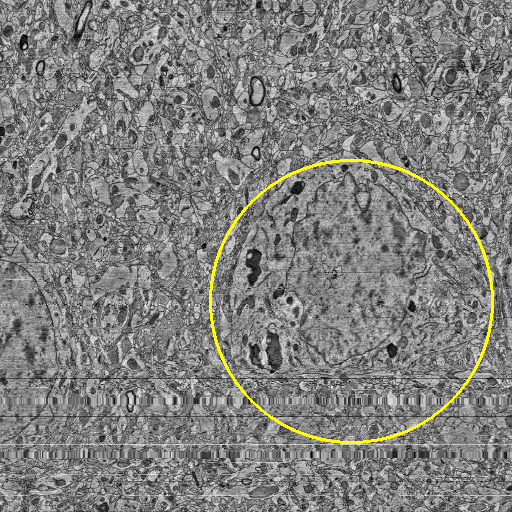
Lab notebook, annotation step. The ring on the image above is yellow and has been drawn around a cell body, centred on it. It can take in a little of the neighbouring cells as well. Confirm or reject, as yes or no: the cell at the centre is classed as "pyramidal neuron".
No, the cell is of another class.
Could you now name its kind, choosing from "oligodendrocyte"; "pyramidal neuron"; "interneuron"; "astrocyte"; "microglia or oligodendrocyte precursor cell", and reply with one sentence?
Instead, the cell at the centre of the ring is an interneuron.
